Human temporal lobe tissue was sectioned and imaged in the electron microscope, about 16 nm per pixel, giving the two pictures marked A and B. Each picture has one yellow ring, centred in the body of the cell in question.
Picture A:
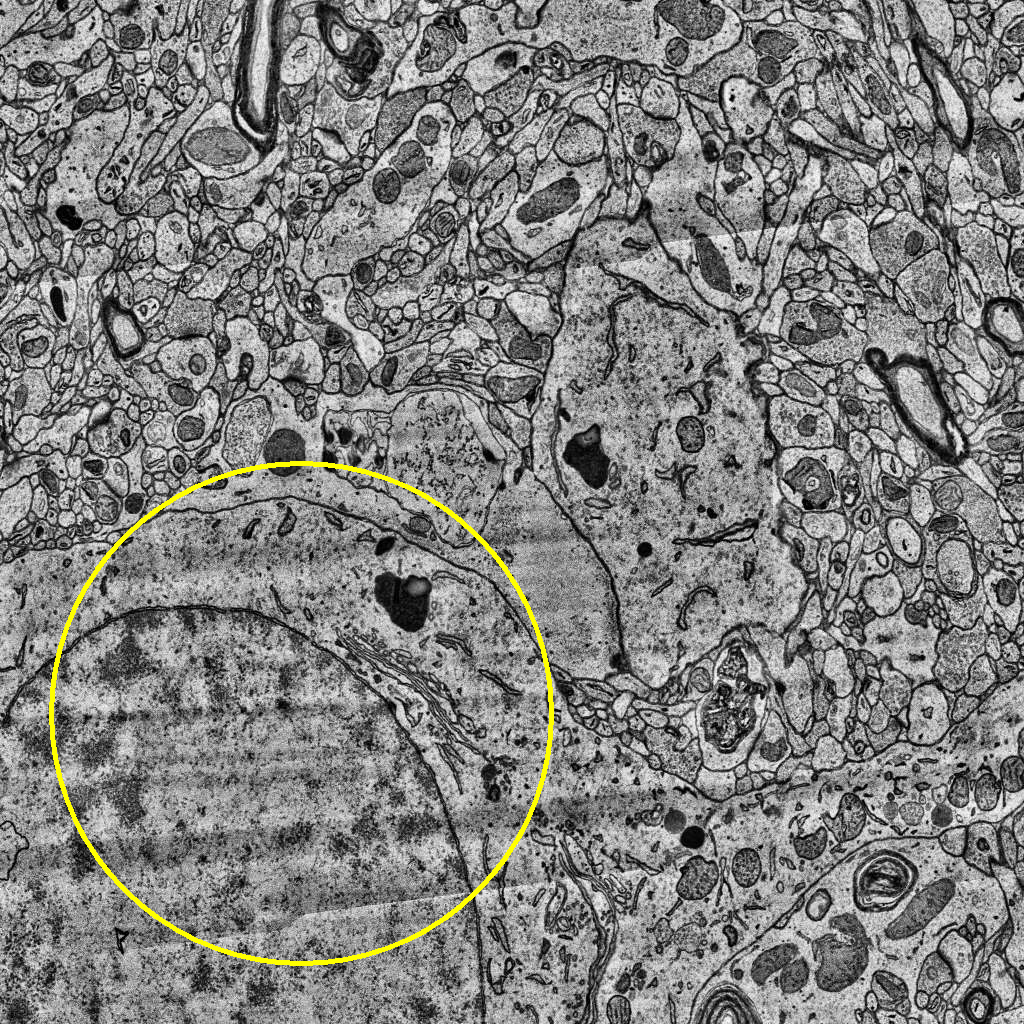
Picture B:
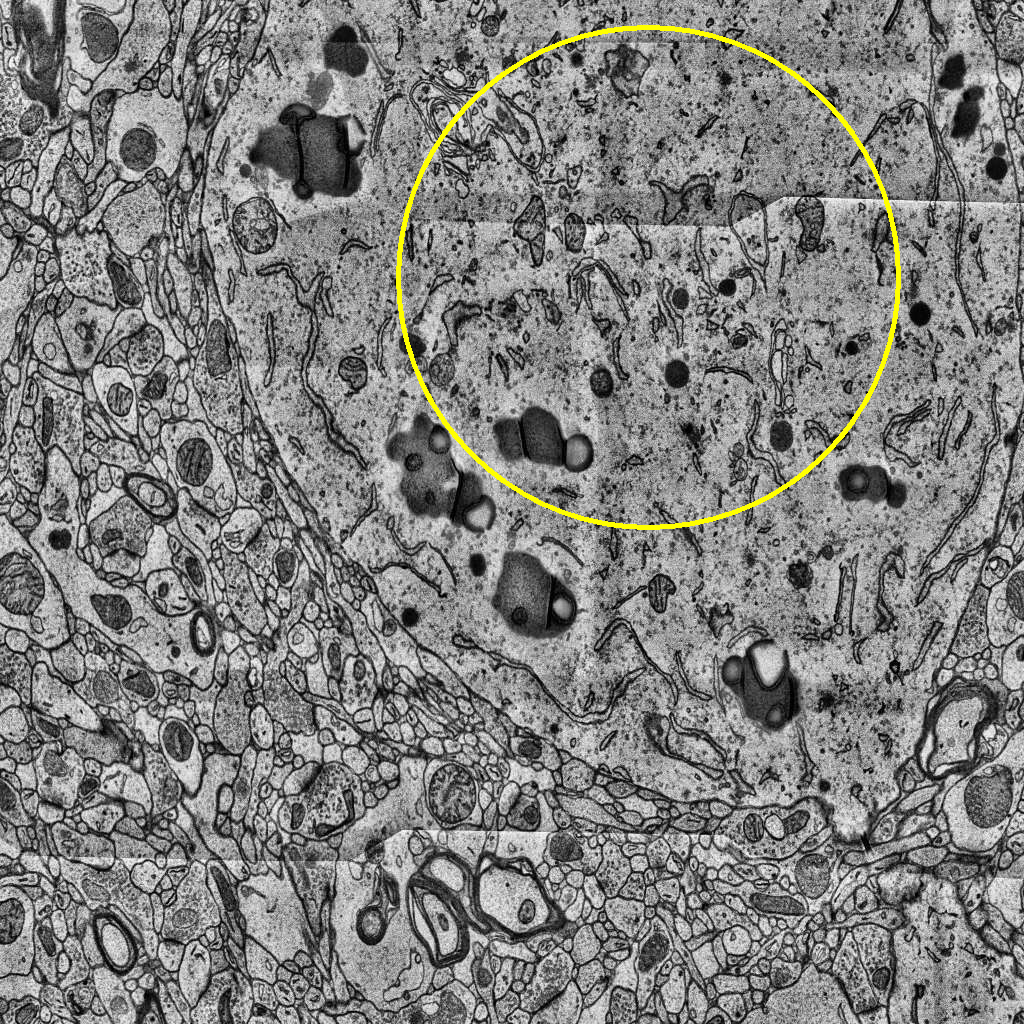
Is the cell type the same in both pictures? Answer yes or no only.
yes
